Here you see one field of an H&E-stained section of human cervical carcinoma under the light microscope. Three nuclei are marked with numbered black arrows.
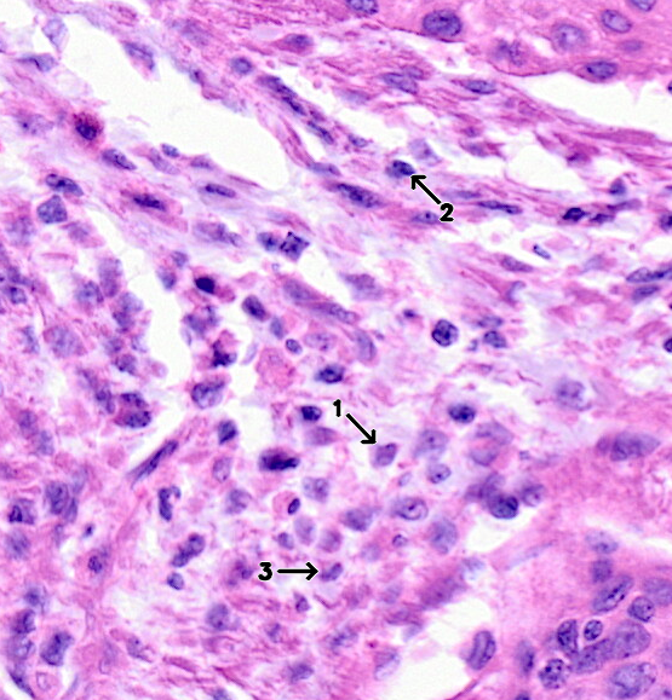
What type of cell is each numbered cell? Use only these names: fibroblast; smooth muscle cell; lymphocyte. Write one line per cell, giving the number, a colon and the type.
1: fibroblast
2: lymphocyte
3: fibroblast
